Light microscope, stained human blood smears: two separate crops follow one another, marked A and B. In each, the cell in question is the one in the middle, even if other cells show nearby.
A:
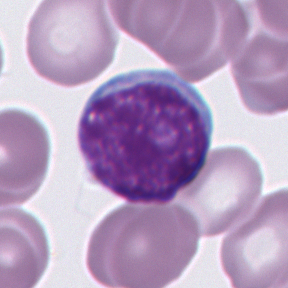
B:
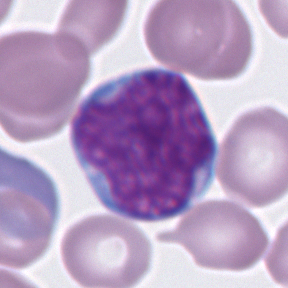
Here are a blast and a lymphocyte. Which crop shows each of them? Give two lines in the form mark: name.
A: lymphocyte
B: blast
